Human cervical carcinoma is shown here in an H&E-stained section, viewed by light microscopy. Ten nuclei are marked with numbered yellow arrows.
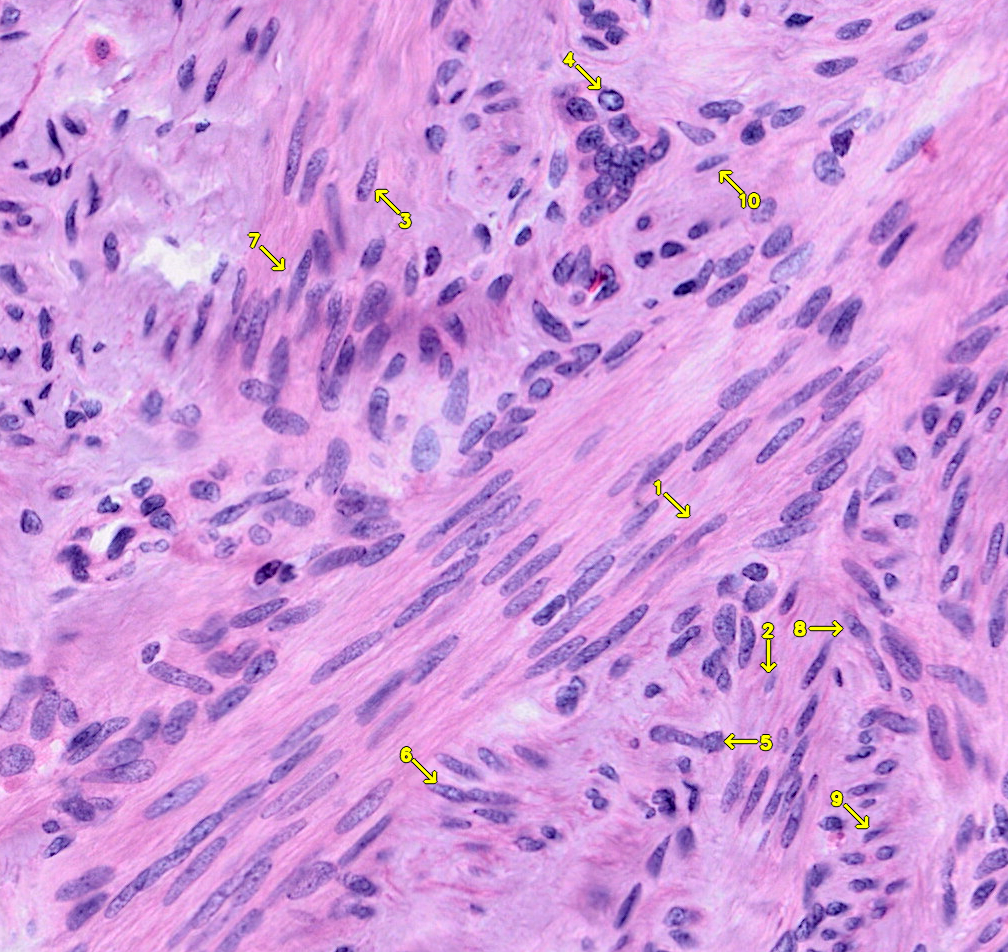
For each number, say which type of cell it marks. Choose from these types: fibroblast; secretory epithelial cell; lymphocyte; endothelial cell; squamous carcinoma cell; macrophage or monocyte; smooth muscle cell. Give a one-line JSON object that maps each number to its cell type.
{"1": "smooth muscle cell", "2": "smooth muscle cell", "3": "fibroblast", "4": "endothelial cell", "5": "smooth muscle cell", "6": "smooth muscle cell", "7": "fibroblast", "8": "smooth muscle cell", "9": "smooth muscle cell", "10": "fibroblast"}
